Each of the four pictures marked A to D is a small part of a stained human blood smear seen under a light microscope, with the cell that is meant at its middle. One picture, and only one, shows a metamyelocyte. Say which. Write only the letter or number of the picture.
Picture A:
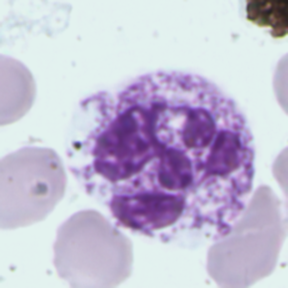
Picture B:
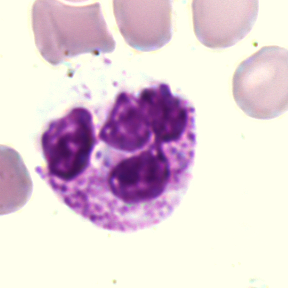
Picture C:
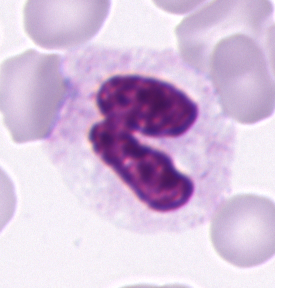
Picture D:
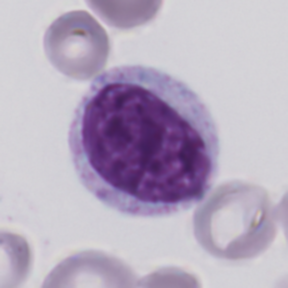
D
